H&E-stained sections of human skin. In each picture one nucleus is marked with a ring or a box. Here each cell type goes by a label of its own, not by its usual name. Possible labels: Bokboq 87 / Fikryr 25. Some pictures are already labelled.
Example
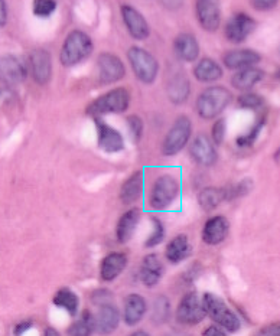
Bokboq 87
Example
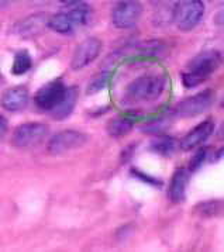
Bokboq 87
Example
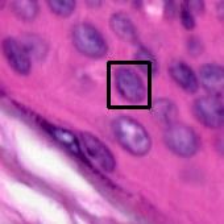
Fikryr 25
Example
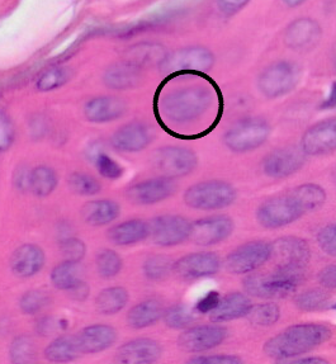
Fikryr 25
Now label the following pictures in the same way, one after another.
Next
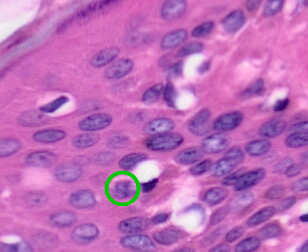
Bokboq 87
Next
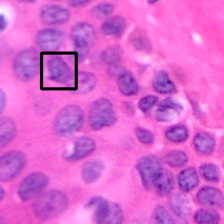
Fikryr 25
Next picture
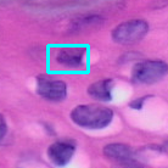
Fikryr 25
